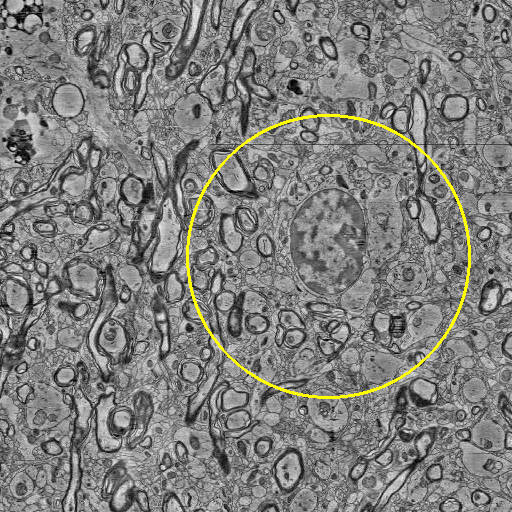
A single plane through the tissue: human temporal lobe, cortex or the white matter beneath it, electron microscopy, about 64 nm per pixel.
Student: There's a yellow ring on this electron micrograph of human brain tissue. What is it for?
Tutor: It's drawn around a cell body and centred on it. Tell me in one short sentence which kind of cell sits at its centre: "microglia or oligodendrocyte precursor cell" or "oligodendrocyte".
The cell at the centre of the ring is a microglial cell or oligodendrocyte precursor cell.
